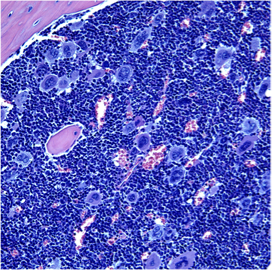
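Scattered among them are many large megakaryocytes with abundant pale purple cytoplasm and big nuclei, and small spaces filled with red blood cells. A band of pink bone runs along the upper left corner.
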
